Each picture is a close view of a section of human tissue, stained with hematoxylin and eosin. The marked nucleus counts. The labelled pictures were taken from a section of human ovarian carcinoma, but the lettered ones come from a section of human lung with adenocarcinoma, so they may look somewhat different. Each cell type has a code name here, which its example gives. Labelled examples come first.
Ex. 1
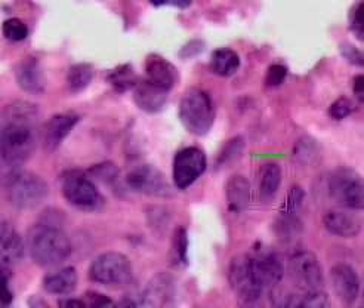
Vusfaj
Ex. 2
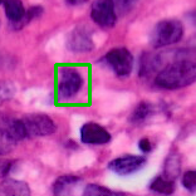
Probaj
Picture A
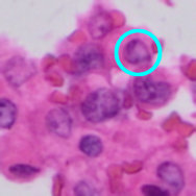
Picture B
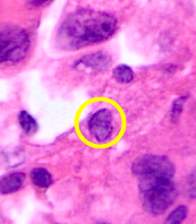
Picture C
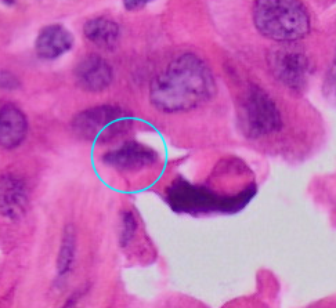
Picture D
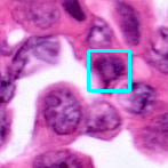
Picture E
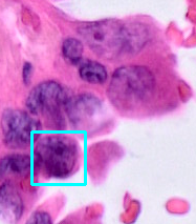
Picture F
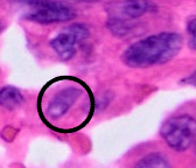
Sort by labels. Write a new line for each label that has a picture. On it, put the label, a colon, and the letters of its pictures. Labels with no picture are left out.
Vusfaj: C, D, E
Probaj: A, B, F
